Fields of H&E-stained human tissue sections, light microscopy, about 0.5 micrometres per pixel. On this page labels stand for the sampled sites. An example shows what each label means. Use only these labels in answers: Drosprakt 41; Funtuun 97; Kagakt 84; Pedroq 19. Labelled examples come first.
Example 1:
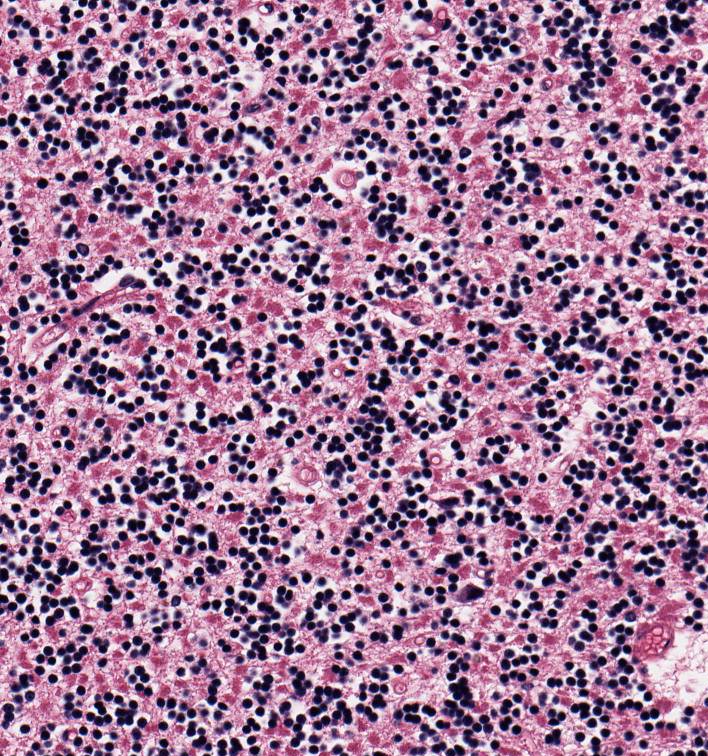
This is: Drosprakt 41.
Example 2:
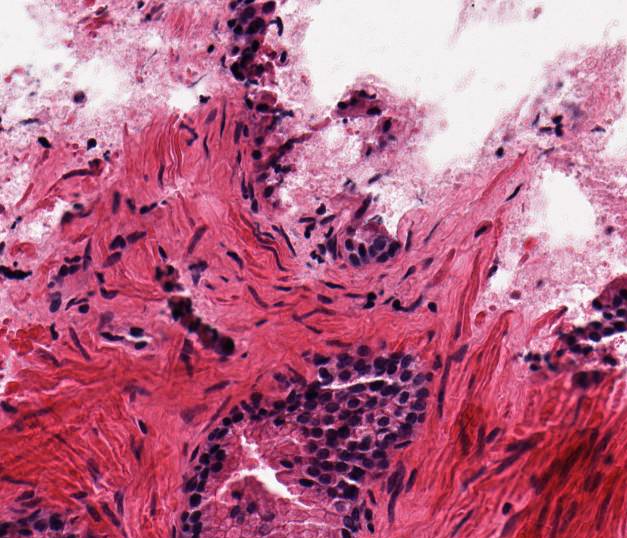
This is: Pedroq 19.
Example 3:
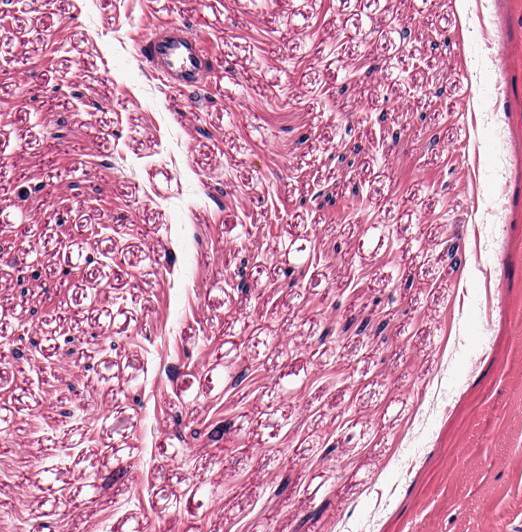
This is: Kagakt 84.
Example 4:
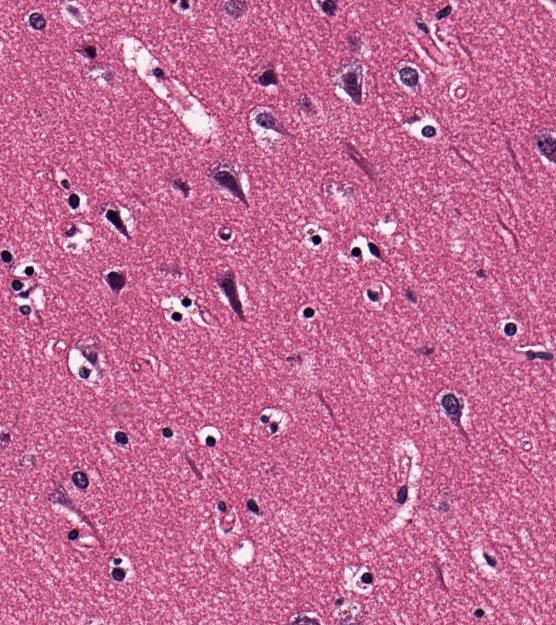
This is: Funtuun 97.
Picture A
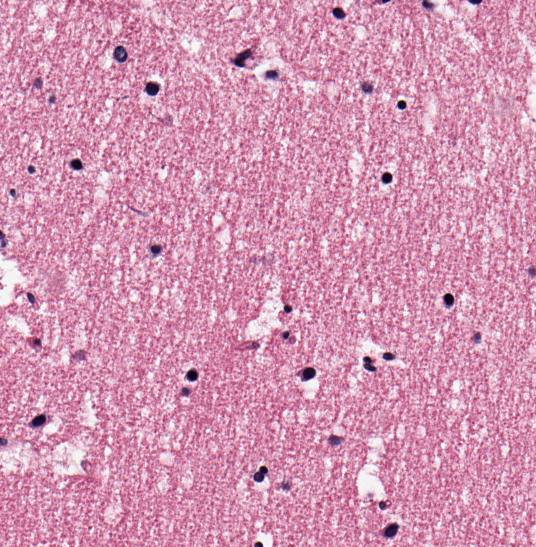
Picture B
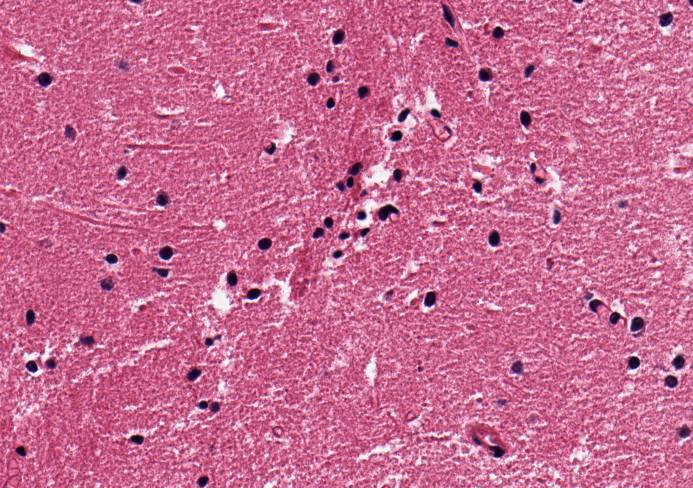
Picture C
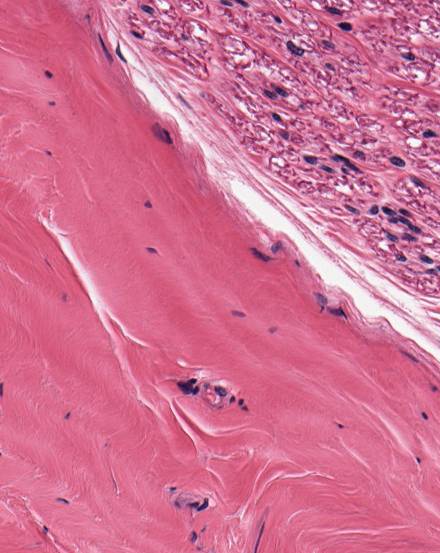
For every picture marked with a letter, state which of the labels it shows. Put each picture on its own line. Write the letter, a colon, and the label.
A: Drosprakt 41.
B: Drosprakt 41.
C: Kagakt 84.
